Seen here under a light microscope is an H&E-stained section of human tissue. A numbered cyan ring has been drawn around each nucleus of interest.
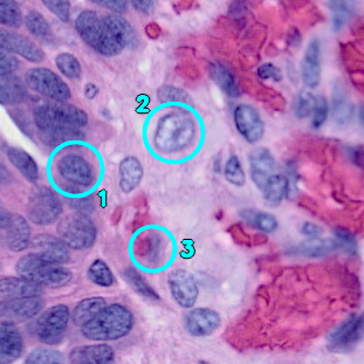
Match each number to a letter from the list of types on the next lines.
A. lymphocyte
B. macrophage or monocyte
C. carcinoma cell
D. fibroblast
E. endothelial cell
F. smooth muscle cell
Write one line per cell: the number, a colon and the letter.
1: C
2: D
3: E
